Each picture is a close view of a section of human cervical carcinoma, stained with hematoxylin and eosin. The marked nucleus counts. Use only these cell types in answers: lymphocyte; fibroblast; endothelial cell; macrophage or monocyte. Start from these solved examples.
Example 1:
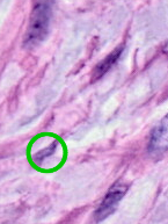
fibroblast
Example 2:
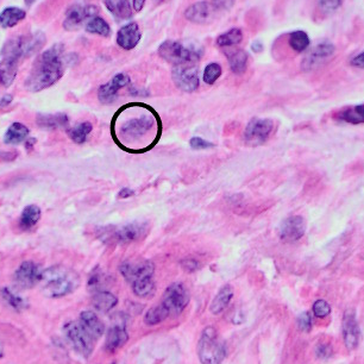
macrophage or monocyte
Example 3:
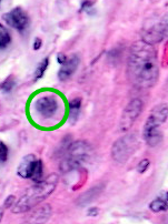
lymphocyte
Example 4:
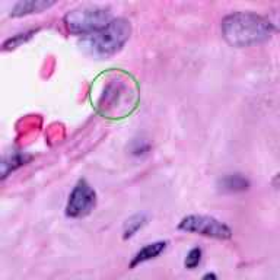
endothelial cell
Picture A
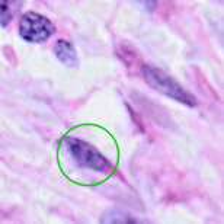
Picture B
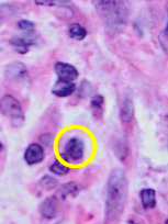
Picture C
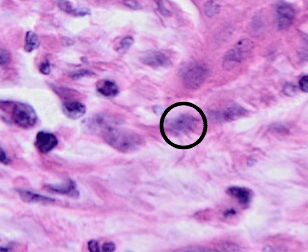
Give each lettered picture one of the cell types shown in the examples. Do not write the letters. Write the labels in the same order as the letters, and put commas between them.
fibroblast, lymphocyte, fibroblast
